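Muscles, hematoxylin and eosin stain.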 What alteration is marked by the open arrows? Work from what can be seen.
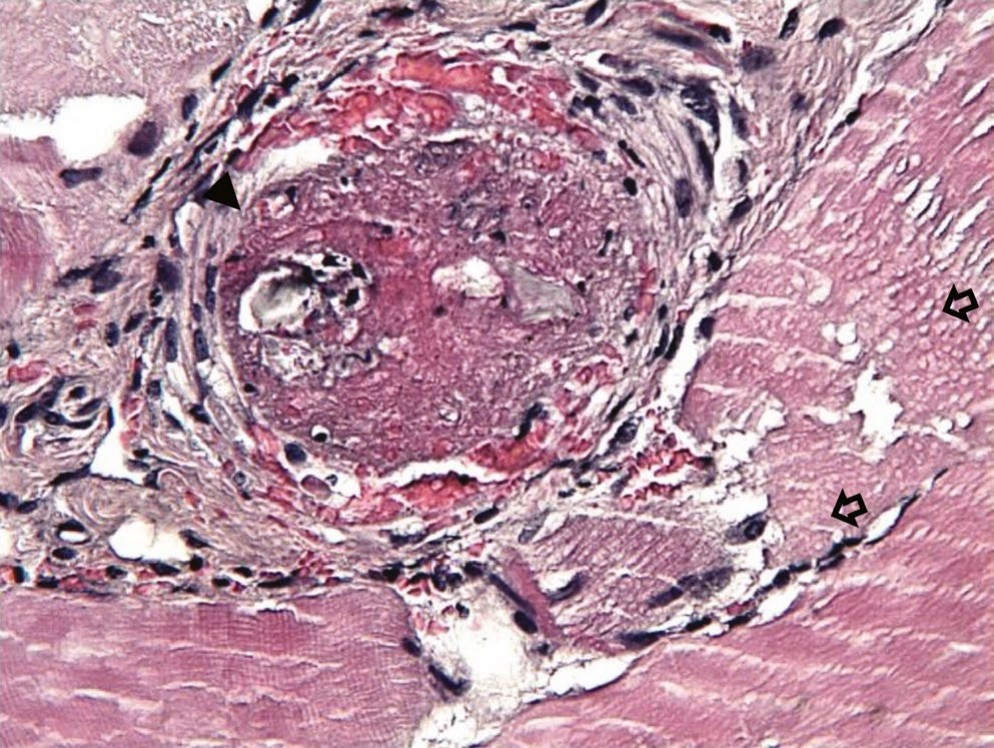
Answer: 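Vacuolar degeneration. Small clear vacuoles lie within the pink muscle fibre at the right, where the open arrows point. The affected fibre looks pale and finely bubbly.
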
